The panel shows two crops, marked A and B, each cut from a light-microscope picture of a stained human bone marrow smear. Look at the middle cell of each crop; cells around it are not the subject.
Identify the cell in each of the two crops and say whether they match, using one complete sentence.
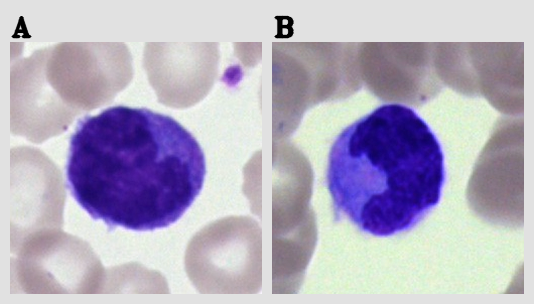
Yes, both crops are centred on cells that are monocytes.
